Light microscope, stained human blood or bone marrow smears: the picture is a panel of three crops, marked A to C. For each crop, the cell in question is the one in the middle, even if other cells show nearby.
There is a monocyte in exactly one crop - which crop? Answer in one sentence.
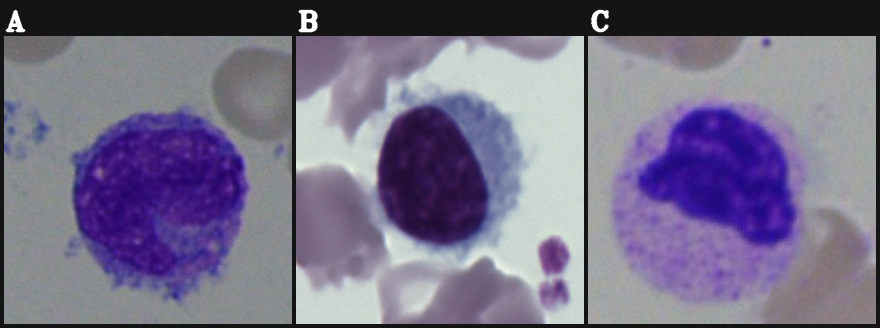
Only in crop A is a monocyte shown.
